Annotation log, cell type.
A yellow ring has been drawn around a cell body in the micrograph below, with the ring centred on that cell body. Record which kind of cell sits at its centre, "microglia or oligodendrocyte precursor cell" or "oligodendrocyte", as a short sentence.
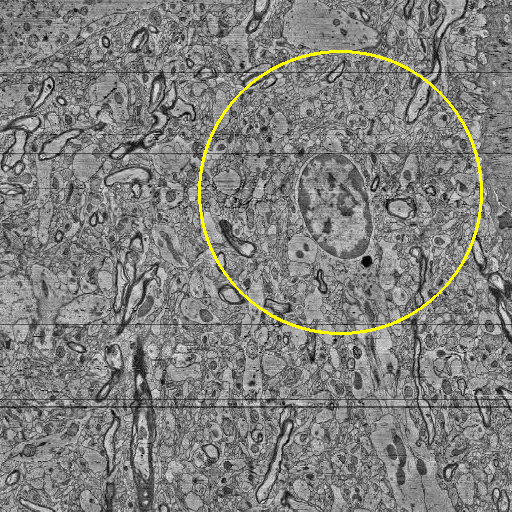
The cell at the centre of this ring is a microglial cell or oligodendrocyte precursor cell.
